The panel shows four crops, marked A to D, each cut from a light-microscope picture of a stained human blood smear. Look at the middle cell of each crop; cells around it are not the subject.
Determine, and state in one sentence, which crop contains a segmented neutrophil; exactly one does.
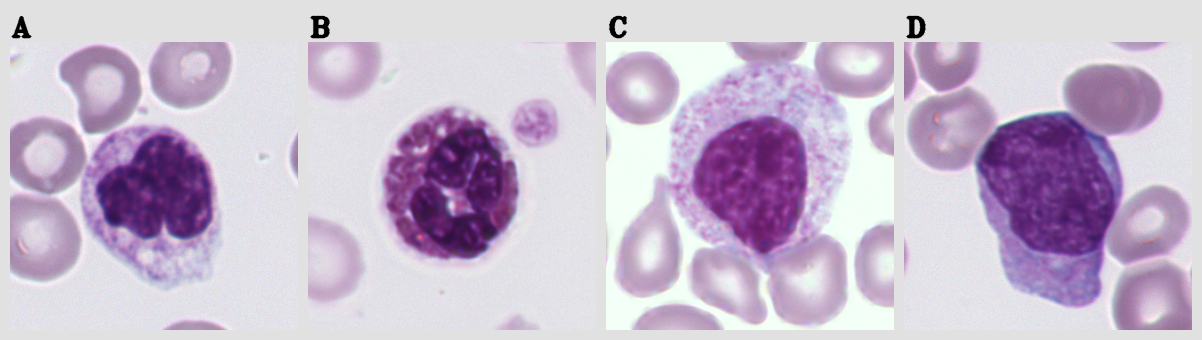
Crop A is the one that shows a segmented neutrophil.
